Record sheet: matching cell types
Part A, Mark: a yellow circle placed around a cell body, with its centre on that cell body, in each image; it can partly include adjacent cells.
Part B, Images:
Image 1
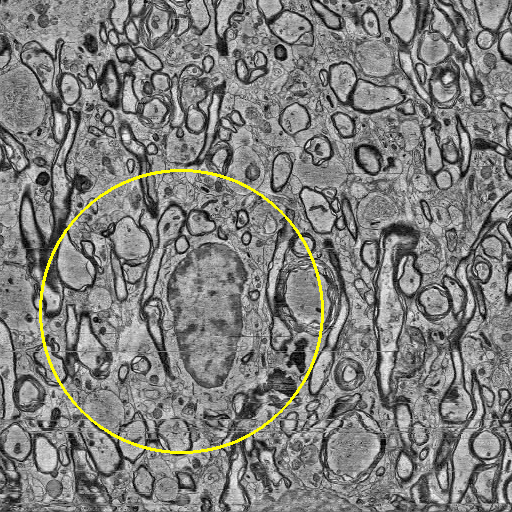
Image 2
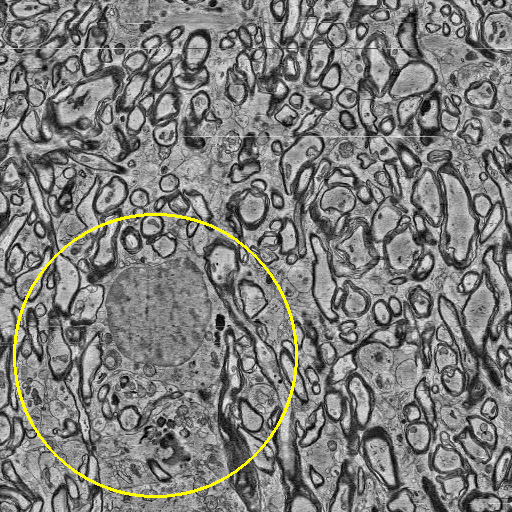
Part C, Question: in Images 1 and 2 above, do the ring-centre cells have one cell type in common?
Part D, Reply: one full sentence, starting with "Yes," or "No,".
No, the ring-centre cells of Image 1 and Image 2 are each of a separate cell type.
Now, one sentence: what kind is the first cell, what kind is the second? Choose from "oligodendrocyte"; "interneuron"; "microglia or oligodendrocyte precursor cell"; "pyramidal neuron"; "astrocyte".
The first picture has a microglial cell or oligodendrocyte precursor cell at its ring centre, and the second has an oligodendrocyte.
